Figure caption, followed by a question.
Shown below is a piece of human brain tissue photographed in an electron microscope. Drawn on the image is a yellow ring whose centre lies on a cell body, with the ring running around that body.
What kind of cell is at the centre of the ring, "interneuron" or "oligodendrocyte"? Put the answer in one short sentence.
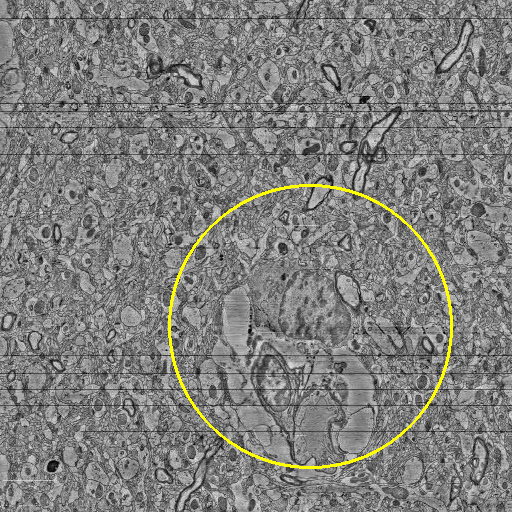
The ring marks the cell body of an oligodendrocyte.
